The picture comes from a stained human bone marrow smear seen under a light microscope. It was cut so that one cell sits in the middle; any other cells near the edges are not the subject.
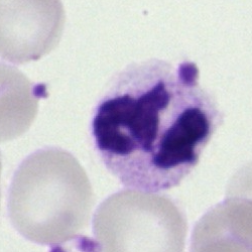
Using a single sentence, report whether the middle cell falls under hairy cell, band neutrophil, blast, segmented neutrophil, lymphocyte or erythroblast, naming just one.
At the center of the crop sits a segmented neutrophil.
